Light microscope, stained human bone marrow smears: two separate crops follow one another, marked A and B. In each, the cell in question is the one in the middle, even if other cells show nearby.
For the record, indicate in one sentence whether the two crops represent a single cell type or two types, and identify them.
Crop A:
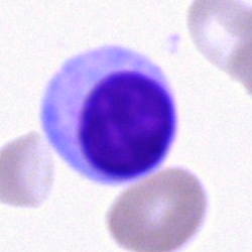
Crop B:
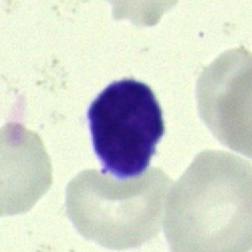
Yes, the two crops show lymphocytes at their centres.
